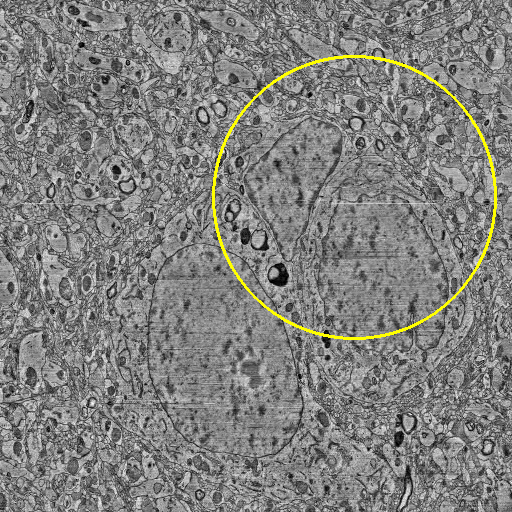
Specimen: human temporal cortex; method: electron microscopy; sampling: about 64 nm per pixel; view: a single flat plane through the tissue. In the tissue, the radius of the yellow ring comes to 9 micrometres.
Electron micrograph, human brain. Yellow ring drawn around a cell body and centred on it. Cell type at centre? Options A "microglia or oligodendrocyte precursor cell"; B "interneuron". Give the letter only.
B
